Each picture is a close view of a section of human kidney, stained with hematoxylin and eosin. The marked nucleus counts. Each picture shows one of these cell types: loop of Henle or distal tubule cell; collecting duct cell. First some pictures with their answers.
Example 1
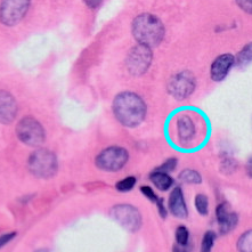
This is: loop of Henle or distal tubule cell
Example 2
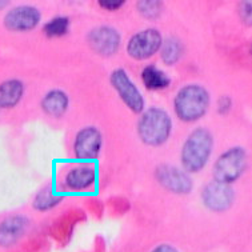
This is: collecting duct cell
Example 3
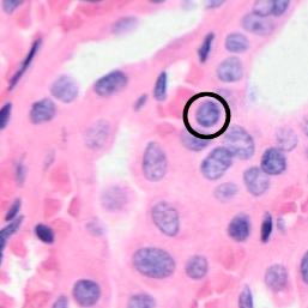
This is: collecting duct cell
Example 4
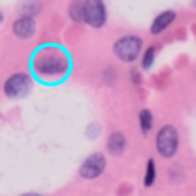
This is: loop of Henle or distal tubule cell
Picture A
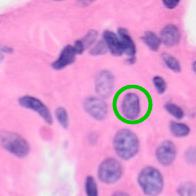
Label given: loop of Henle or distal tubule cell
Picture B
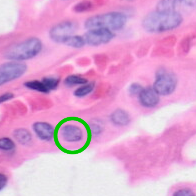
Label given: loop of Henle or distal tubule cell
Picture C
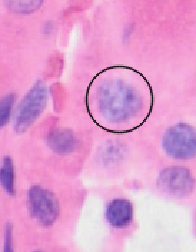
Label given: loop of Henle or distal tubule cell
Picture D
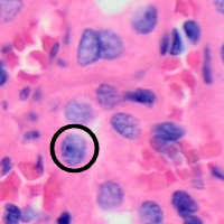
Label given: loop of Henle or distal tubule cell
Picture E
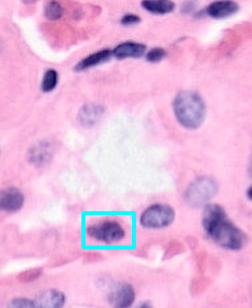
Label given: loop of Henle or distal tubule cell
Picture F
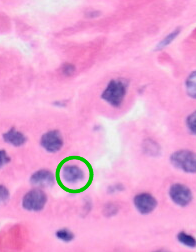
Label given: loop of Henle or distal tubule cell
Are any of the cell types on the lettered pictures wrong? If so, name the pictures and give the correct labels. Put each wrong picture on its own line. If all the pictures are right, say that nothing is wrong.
B: collecting duct cell, not loop of Henle or distal tubule cell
